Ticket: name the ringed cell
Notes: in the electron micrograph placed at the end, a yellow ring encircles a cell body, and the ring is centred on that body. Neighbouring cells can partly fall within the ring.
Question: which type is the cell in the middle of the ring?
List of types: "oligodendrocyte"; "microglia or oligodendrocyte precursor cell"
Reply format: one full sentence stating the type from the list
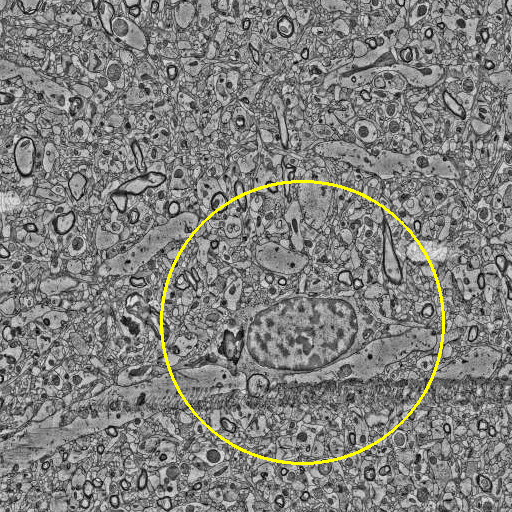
The cell sitting at the centre of the yellow ring is an oligodendrocyte.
